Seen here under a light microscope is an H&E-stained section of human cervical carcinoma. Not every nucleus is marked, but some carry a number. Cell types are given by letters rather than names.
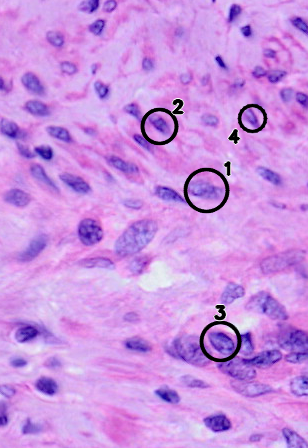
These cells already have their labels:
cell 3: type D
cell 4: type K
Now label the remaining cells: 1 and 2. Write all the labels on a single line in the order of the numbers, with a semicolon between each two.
type K; type K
